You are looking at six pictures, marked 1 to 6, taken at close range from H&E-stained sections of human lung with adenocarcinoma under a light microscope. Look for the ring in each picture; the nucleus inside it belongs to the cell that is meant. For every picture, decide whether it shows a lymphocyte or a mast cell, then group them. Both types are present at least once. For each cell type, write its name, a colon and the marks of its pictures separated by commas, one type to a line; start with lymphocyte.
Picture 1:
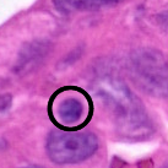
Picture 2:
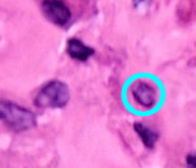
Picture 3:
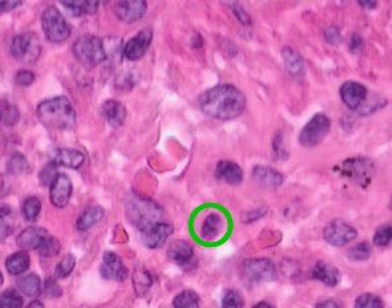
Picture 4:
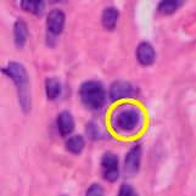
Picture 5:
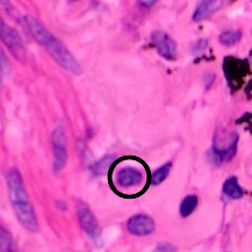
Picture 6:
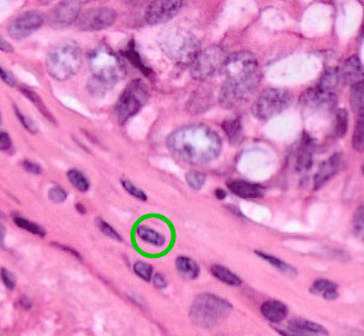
lymphocyte: 1, 3, 4
mast cell: 2, 5, 6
